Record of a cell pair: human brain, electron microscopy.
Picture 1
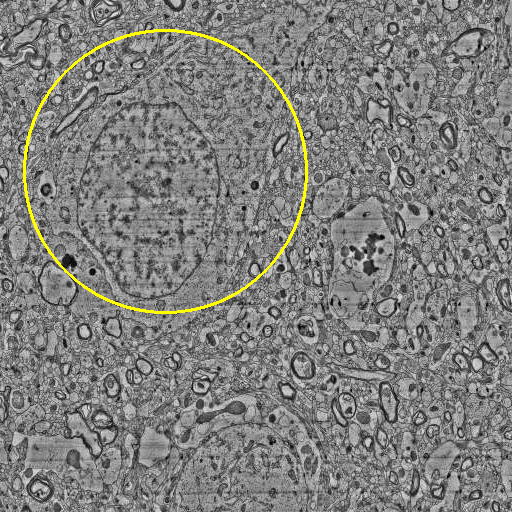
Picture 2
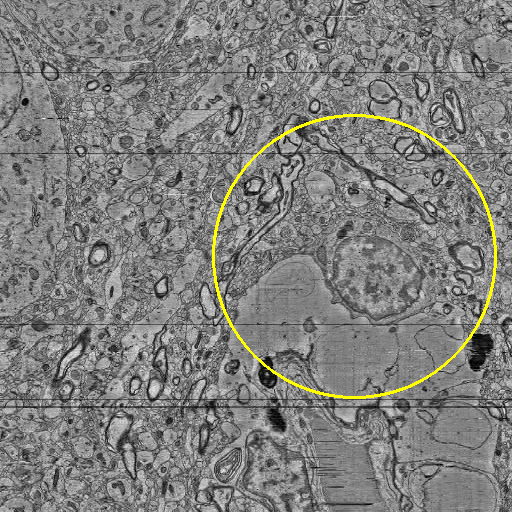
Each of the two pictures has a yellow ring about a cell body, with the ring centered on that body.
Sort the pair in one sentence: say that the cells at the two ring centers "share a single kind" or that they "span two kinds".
The cells centered in the rings of Pictures 1 and 2 span two kinds.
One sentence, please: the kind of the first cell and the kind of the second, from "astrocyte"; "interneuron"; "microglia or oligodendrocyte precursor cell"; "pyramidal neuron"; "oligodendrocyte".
The ring in the first picture surrounds a pyramidal neuron, and the ring in the second surrounds an oligodendrocyte.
